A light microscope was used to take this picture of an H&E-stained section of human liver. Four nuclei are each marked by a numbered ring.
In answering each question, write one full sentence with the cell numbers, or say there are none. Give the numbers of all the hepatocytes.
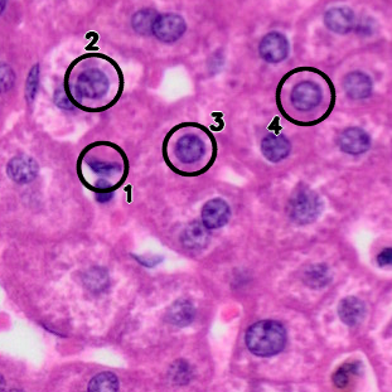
The cells numbered 2, 3 and 4 are, by type, hepatocytes.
